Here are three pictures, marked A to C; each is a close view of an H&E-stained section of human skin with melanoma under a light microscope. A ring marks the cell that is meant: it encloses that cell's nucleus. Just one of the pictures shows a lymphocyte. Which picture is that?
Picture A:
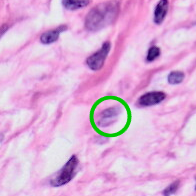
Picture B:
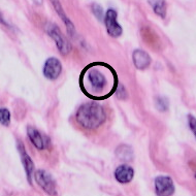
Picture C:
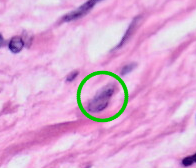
B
